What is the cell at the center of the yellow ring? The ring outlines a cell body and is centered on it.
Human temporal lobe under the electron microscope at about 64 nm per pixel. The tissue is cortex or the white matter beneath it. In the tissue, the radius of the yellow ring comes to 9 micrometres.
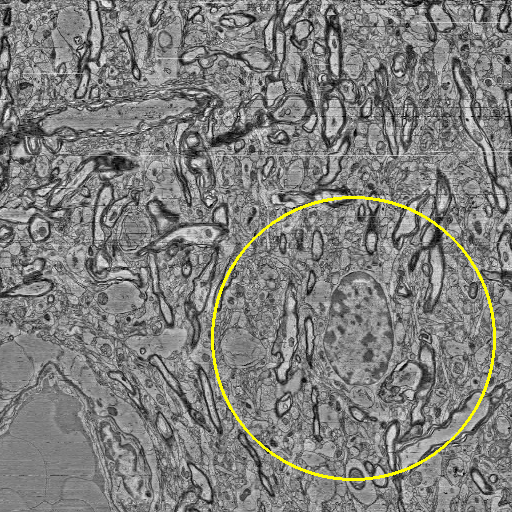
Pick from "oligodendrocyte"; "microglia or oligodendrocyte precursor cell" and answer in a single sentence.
The yellow ring is centered on a microglial cell or oligodendrocyte precursor cell.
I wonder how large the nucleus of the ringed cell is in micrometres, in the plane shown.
The nucleus is about 7 micrometres in length and 4 in width, clearly longer than it is wide in this plane.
